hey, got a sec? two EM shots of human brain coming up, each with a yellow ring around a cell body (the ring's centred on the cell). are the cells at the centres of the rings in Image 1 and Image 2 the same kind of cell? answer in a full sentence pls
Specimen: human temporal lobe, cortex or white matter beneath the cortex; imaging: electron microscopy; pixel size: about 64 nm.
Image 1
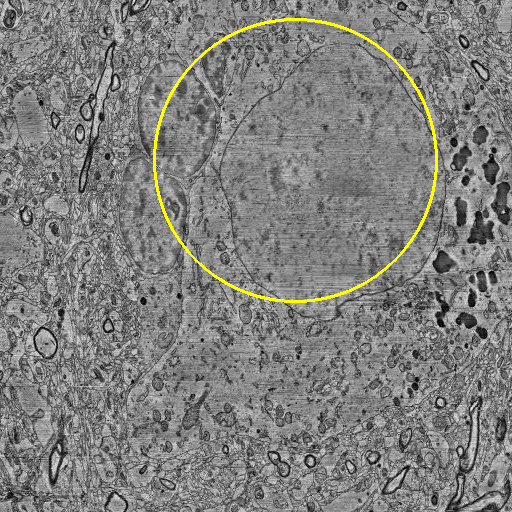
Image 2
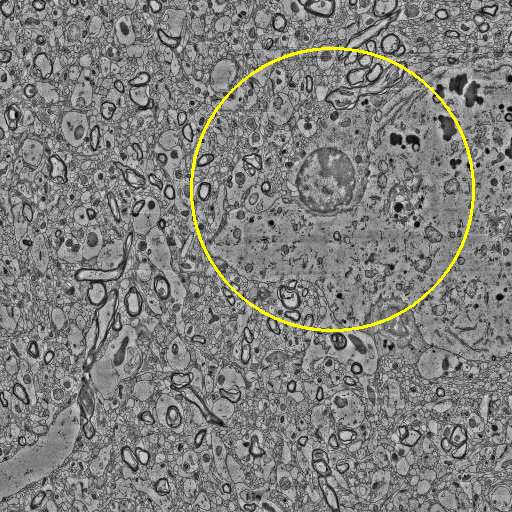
No, they are two kinds of cell.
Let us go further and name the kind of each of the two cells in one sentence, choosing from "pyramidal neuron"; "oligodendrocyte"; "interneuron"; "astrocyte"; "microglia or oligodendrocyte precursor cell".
The ring of the first picture is on a pyramidal neuron, the ring of the second on an oligodendrocyte.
